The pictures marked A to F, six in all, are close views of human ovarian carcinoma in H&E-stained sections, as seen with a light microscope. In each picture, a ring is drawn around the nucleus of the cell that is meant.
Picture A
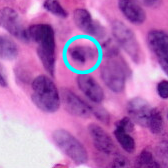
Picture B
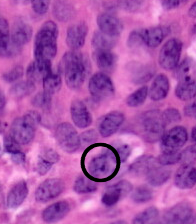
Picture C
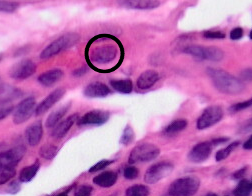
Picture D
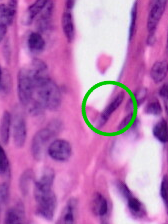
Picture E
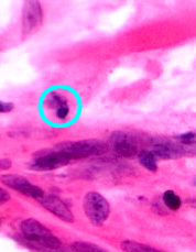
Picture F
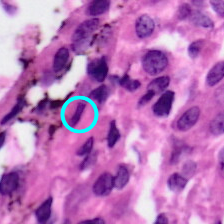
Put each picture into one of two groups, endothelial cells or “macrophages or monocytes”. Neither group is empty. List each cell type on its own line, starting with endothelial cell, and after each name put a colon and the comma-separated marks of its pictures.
endothelial cell: C, D, F
macrophage or monocyte: A, B, E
